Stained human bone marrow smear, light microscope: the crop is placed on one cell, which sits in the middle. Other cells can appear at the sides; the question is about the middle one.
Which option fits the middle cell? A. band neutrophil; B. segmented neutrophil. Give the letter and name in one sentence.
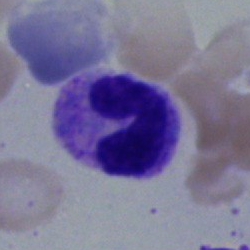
The middle of the crop contains a band neutrophil, so option A is right.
